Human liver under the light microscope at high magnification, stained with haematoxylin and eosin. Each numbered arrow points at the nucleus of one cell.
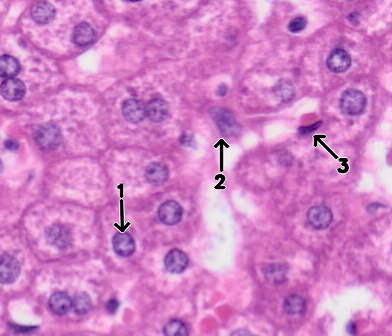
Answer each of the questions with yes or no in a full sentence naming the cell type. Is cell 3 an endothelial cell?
Yes, the cell to which number 3 refers is an endothelial cell.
